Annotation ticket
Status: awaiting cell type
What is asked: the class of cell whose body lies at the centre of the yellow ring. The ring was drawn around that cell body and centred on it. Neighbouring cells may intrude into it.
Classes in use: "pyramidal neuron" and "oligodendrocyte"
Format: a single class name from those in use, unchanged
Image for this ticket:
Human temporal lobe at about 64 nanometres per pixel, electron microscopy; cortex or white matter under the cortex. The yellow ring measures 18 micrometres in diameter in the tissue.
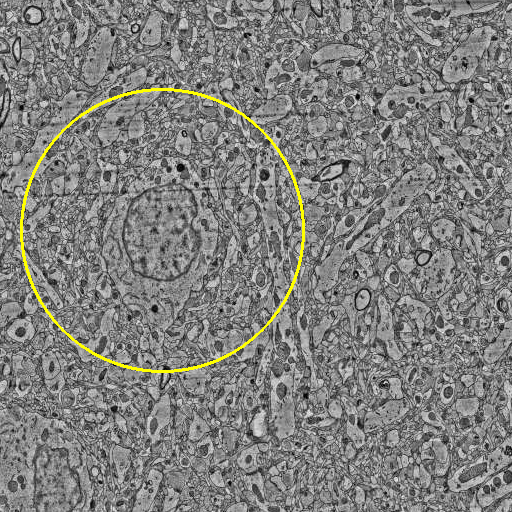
pyramidal neuron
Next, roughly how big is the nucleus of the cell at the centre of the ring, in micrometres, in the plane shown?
In this plane the nucleus spans approximately 6 by 5 micrometers.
